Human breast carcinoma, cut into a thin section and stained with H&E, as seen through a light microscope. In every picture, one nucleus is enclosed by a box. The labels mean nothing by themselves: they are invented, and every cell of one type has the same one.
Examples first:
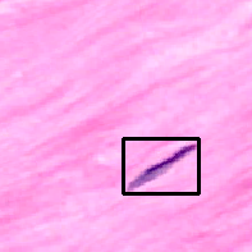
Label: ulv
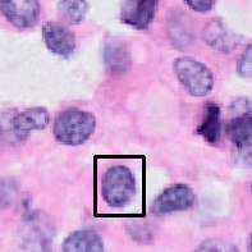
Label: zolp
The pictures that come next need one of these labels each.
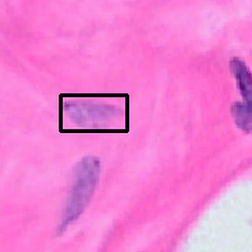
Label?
ulv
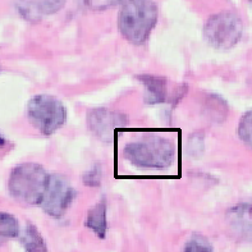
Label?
zolp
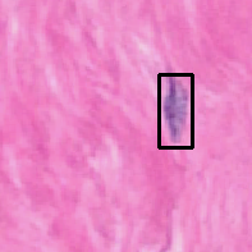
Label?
ulv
